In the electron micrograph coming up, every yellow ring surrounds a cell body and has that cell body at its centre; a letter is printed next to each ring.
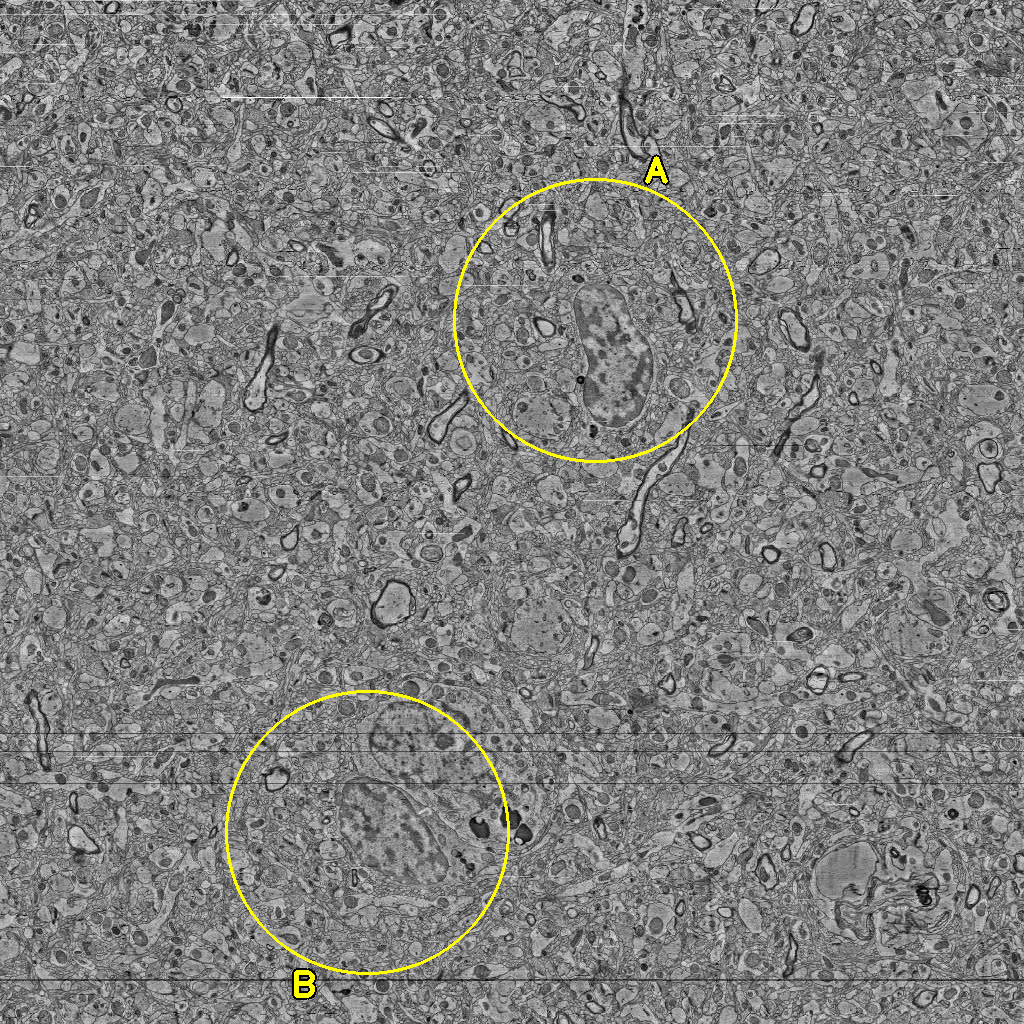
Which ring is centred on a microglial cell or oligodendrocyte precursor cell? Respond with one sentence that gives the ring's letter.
Ring A is the one whose centre sits on the cell asked for in the picture.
